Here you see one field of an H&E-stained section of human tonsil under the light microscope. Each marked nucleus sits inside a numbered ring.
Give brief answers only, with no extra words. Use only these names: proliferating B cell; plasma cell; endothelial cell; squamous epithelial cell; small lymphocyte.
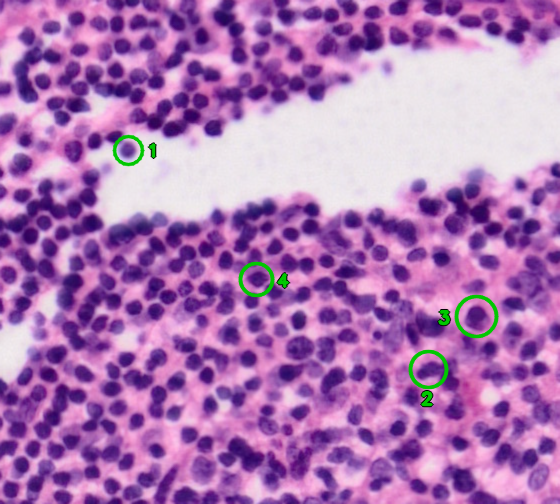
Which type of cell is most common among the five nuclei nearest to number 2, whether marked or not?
proliferating B cell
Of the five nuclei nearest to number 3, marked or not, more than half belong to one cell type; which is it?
proliferating B cell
